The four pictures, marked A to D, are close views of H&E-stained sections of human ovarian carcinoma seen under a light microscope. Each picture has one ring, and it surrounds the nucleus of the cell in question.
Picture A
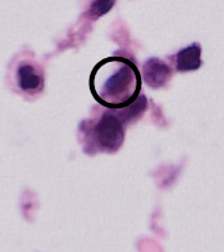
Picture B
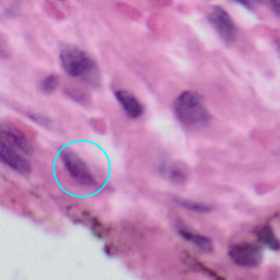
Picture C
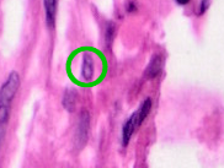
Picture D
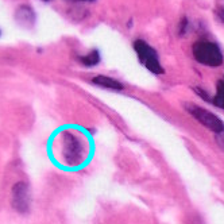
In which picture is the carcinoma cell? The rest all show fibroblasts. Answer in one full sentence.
It is picture A that shows the carcinoma cell.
